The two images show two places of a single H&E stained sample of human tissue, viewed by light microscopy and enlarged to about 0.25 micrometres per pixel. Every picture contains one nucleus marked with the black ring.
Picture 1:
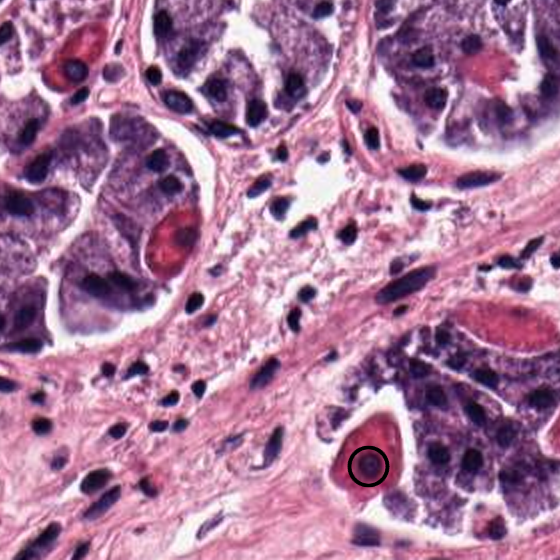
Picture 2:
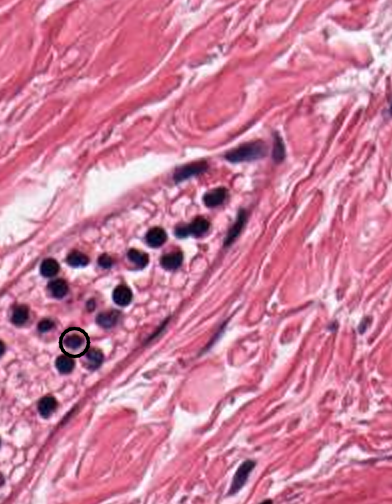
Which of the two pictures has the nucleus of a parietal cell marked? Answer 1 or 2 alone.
1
